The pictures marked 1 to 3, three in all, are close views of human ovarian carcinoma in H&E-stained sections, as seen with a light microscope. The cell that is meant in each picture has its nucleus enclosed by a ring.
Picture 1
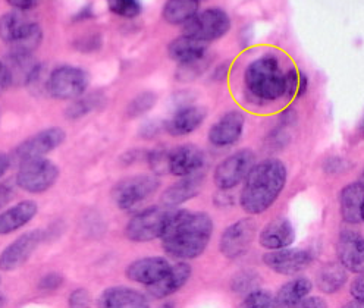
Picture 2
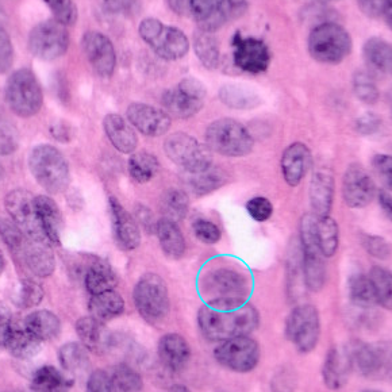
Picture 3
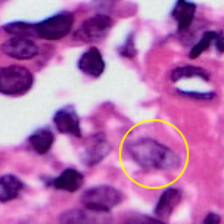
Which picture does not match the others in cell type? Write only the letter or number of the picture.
3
